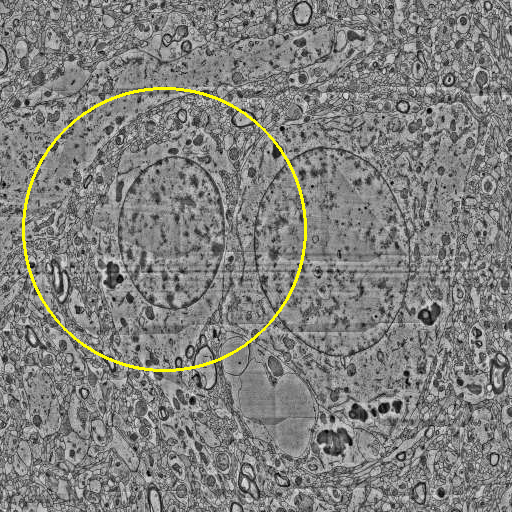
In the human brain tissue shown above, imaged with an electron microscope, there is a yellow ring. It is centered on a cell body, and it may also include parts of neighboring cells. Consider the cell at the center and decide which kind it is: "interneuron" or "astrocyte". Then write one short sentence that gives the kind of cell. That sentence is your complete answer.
This centered cell body is that of an astrocyte.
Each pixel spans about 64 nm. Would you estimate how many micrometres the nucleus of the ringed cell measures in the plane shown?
Roughly 10 micrometres by 7 micrometres, in this plane.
